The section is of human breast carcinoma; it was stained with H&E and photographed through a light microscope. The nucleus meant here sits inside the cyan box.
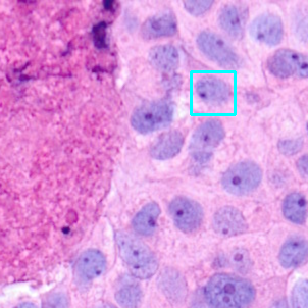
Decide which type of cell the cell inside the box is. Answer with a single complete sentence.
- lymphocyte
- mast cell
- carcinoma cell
Cytologically, the cell inside the box is to be regarded as a carcinoma cell.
